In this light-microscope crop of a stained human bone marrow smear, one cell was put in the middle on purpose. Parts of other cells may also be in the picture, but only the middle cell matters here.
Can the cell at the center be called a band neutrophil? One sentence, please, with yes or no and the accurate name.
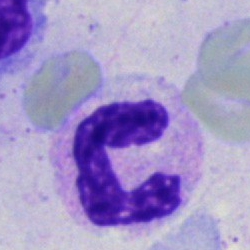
No, rather than being a band neutrophil, the central cell is a segmented neutrophil.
